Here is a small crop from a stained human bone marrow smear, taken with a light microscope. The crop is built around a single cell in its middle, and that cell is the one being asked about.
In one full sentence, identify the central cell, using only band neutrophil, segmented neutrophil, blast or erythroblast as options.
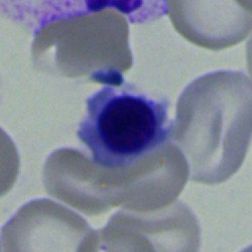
Answering briefly, the cell in the middle is an erythroblast.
